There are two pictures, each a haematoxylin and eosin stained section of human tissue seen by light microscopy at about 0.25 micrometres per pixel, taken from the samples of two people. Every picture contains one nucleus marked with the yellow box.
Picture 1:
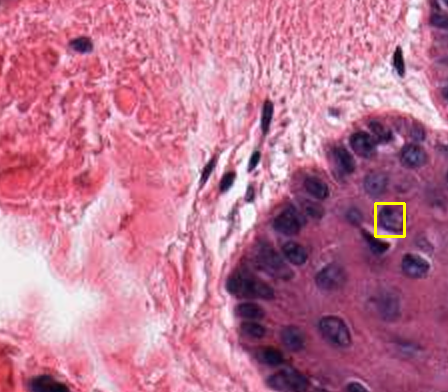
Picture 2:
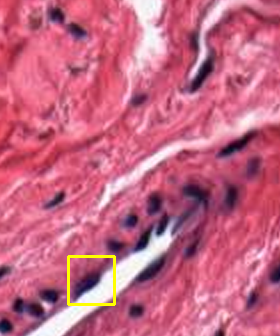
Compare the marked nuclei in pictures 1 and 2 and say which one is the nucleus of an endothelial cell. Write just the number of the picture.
2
